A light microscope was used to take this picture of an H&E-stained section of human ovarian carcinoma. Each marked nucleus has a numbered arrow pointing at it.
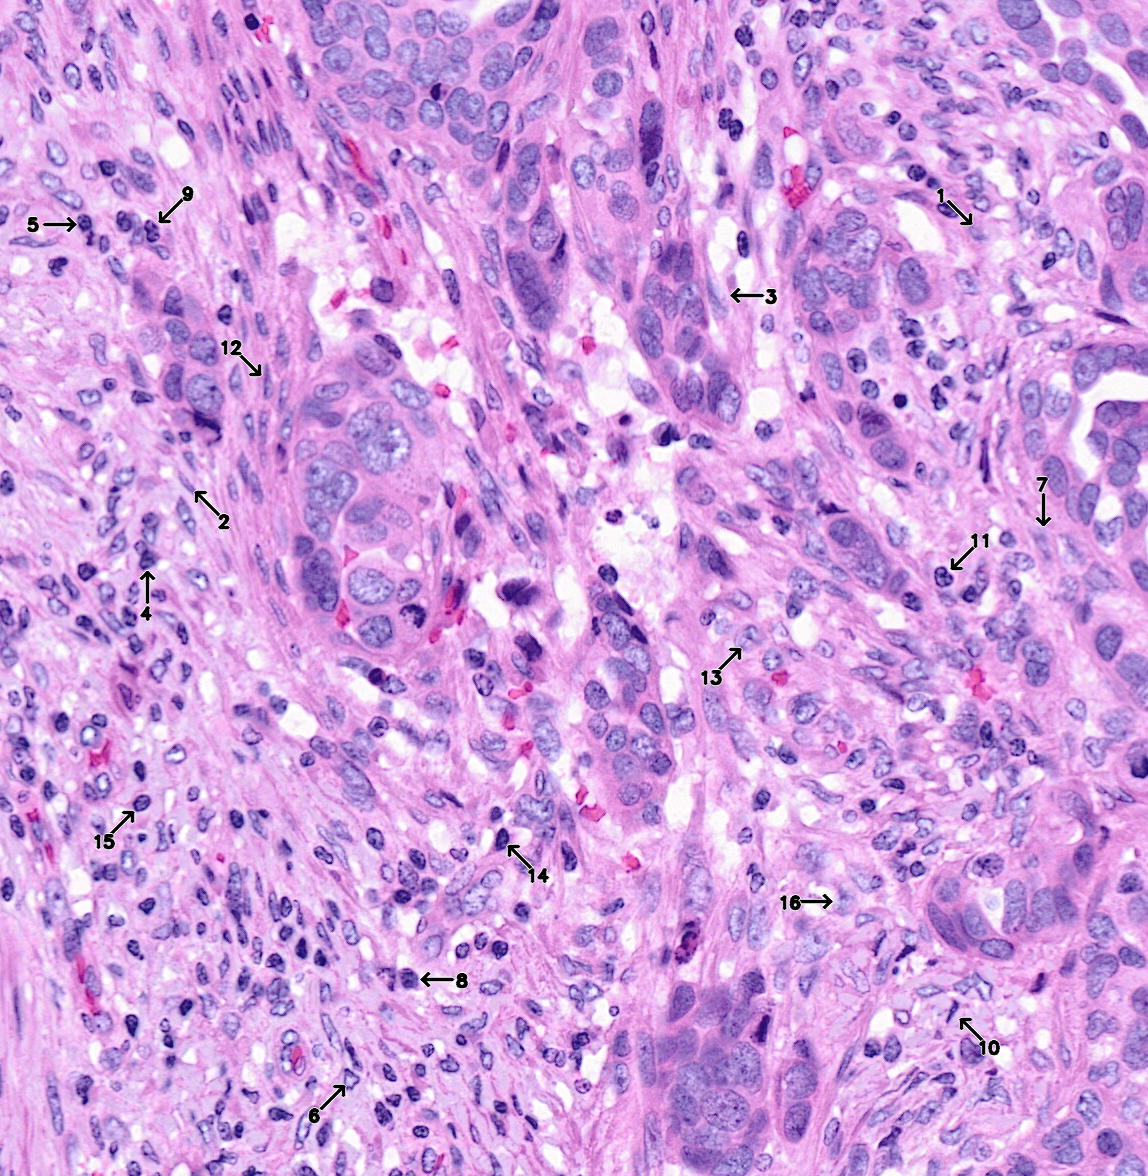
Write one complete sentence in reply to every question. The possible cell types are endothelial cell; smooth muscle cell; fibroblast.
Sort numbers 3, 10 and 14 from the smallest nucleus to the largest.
Smallest first, the nuclei run 10, 14, 3.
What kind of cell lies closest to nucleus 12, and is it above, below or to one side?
Lying below and to the right of nucleus 12, the nearest nucleus is that of a fibroblast.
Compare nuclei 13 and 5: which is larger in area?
Nucleus 13 is larger, with an area about 1.5 times that of nucleus 5.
